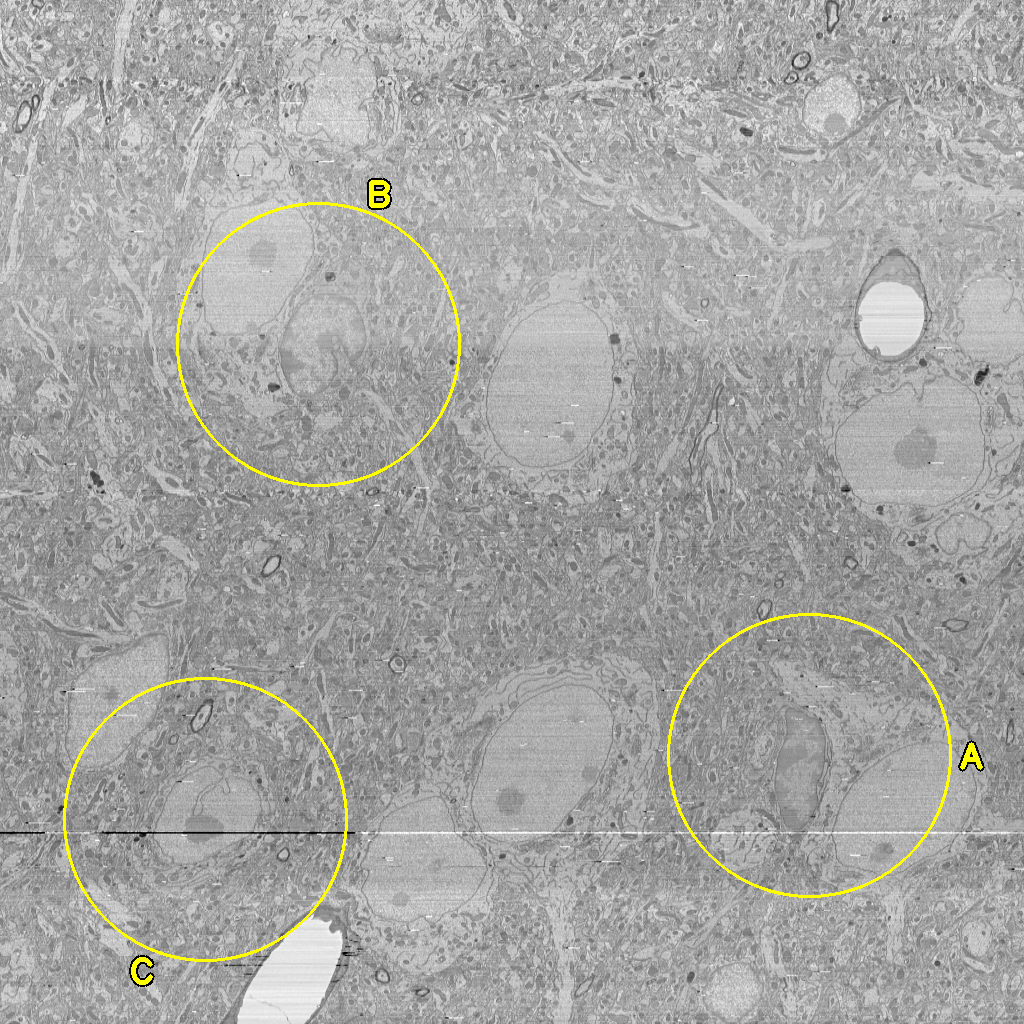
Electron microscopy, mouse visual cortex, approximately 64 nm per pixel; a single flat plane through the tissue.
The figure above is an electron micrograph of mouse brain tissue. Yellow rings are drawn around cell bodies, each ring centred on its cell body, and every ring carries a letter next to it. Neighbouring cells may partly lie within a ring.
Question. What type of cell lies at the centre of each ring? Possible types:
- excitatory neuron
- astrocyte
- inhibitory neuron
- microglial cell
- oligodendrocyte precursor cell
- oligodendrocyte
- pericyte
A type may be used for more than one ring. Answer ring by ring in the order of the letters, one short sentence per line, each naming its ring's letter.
In ring A, the central cell is a microglial cell.
In ring B, the central cell is an oligodendrocyte.
In ring C, the central cell is an inhibitory neuron.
